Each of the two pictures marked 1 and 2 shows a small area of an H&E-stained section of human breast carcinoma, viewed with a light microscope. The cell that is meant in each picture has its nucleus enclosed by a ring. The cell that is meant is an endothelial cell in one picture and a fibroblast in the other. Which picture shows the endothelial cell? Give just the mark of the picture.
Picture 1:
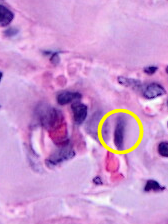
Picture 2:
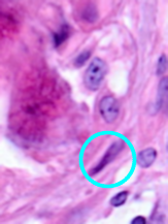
1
